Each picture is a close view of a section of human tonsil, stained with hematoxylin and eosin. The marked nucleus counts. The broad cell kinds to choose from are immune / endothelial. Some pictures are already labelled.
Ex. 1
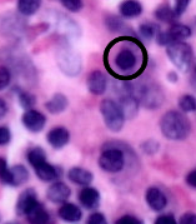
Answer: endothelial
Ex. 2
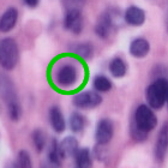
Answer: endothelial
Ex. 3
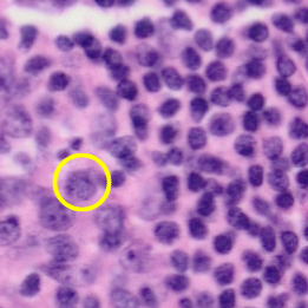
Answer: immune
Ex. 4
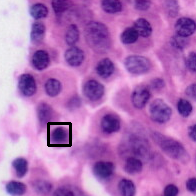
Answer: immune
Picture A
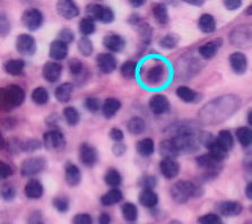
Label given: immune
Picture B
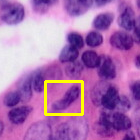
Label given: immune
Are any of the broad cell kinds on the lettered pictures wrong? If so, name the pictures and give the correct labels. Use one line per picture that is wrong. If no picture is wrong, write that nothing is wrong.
A: change immune to endothelial
B: change immune to endothelial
